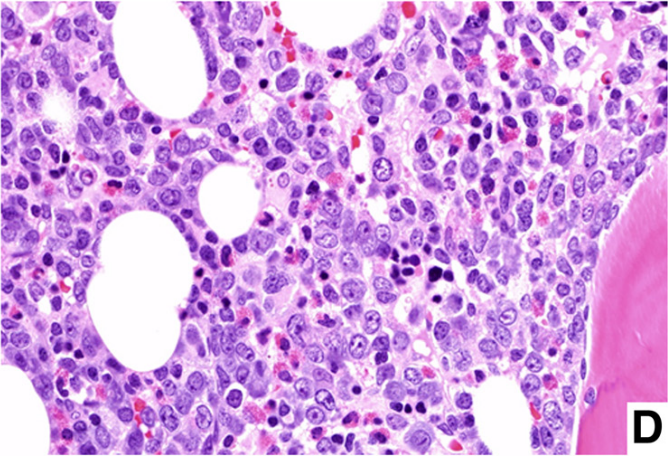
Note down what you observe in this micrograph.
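Sheets of medium to large cells with oval to round, vesicular nuclei, fine chromatin and some visible nucleoli, with moderate pale pink cytoplasm, fill the space between round empty fat spaces. Scattered small dark condensed nuclei and cells with bright red-orange granules lie among them. The edge of a pink bone trabecula appears at the right margin.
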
